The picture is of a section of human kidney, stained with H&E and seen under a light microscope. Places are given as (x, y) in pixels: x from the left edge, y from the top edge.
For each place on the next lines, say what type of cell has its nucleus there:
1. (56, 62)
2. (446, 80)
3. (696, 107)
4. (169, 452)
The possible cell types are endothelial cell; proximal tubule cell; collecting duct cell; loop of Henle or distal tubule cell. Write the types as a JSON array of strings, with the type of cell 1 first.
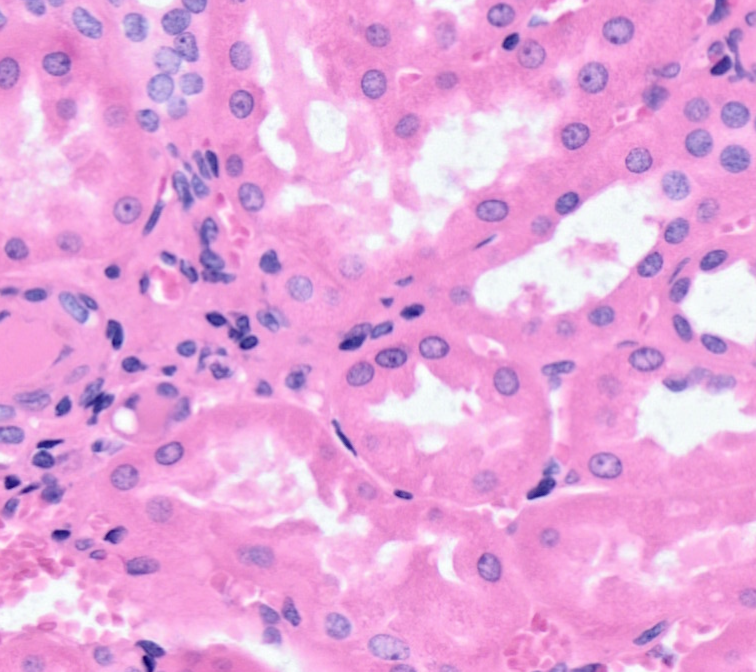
["proximal tubule cell", "proximal tubule cell", "loop of Henle or distal tubule cell", "proximal tubule cell"]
